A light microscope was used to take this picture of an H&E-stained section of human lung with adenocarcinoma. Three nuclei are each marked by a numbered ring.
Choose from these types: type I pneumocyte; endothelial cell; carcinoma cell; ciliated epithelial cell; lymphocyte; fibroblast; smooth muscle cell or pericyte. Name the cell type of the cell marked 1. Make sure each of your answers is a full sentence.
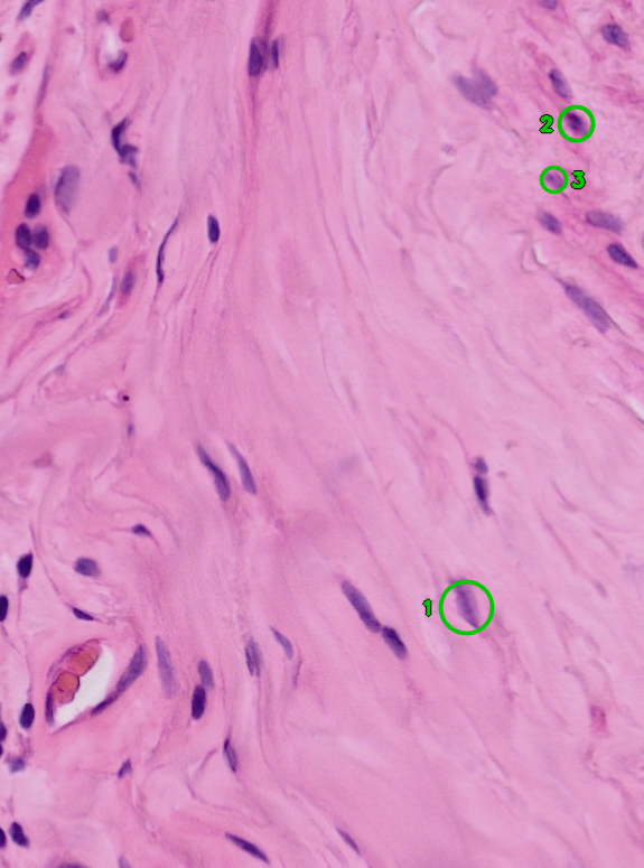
The cell with the number 1 is a fibroblast.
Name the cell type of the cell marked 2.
The one numbered 2 among the marked cells is a smooth muscle cell or pericyte.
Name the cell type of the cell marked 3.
To a smooth muscle cell or pericyte belongs the nucleus marked 3.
